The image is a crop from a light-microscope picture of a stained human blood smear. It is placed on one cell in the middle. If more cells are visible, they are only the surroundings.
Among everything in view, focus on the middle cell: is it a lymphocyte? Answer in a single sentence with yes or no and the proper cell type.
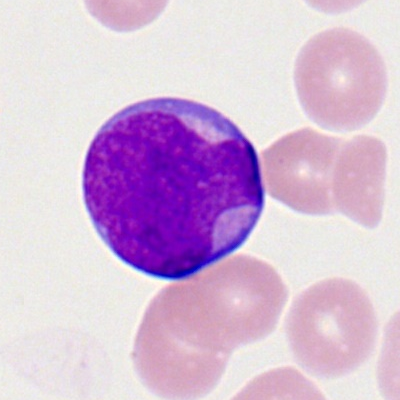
No, the cell in the middle is categorised as a blast, not a lymphocyte.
